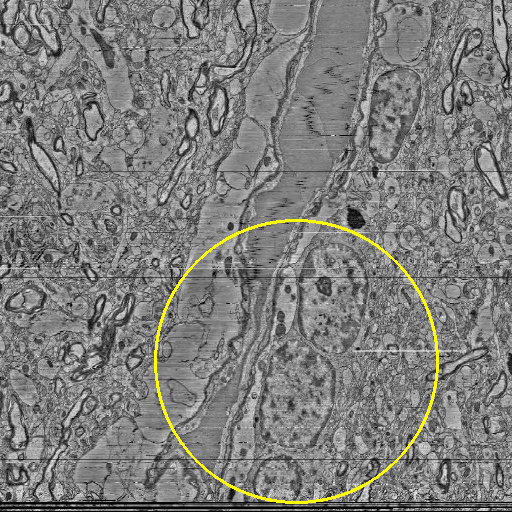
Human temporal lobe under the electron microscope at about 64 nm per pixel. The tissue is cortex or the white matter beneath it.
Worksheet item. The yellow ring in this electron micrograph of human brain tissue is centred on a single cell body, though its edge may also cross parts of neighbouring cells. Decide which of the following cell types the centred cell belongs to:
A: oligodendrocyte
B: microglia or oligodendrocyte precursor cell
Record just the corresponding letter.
A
